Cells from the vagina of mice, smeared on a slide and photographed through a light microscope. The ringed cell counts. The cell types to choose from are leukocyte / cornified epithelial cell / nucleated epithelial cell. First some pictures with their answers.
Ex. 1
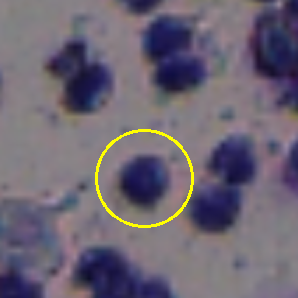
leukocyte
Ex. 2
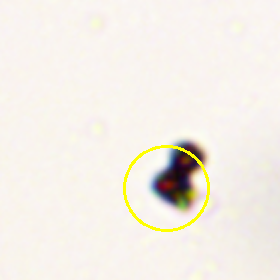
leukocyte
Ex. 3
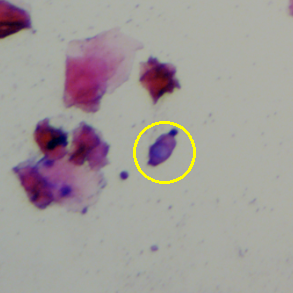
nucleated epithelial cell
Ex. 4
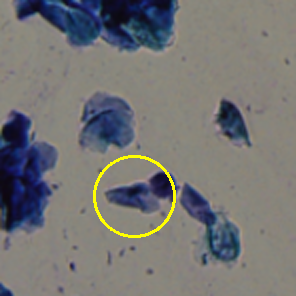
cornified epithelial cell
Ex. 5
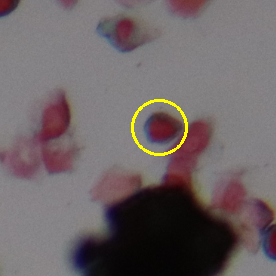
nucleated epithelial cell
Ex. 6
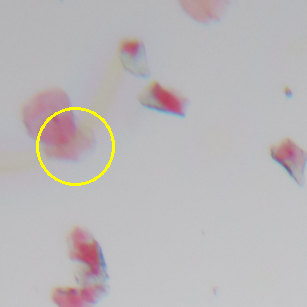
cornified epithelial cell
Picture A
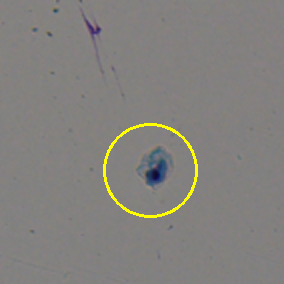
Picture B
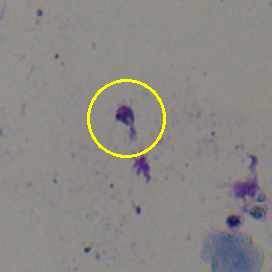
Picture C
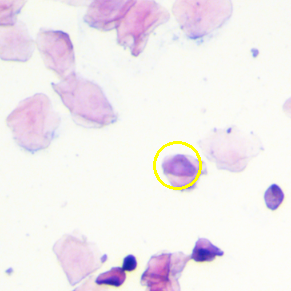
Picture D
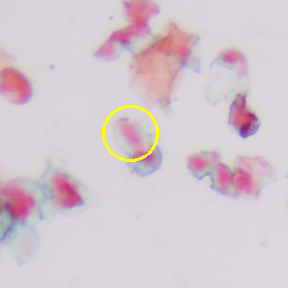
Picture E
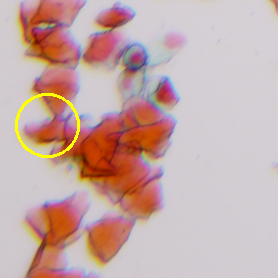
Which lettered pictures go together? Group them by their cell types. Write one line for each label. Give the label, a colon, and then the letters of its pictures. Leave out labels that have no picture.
leukocyte: B
cornified epithelial cell: E
nucleated epithelial cell: A, C, D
